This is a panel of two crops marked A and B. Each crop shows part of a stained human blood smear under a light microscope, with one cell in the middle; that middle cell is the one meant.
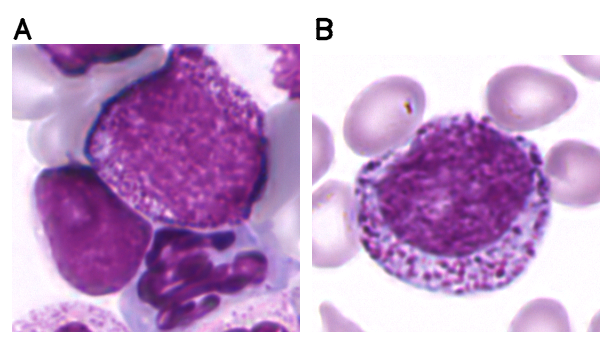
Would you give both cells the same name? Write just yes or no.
yes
